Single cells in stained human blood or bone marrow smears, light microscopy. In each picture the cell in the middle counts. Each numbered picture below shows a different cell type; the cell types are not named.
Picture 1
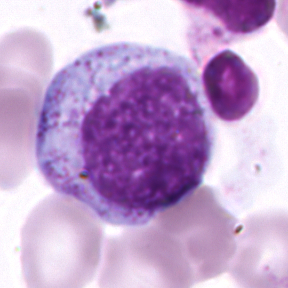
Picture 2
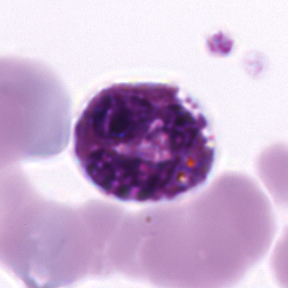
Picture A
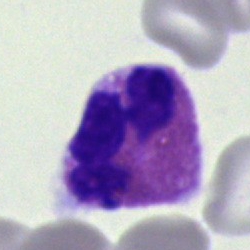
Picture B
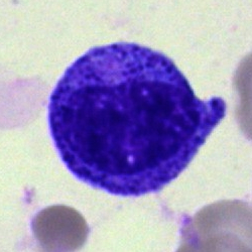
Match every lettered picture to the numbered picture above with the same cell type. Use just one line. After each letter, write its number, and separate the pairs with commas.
A 2, B 1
